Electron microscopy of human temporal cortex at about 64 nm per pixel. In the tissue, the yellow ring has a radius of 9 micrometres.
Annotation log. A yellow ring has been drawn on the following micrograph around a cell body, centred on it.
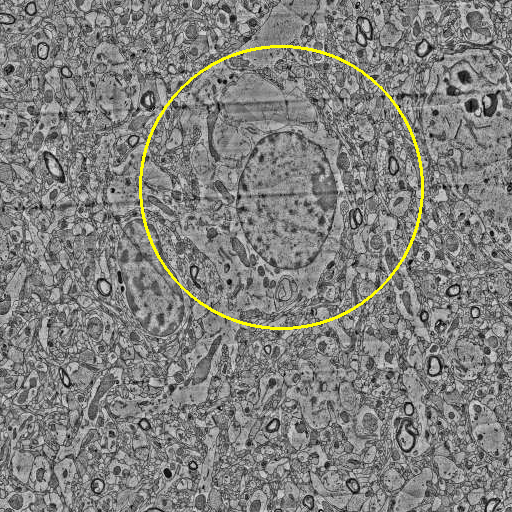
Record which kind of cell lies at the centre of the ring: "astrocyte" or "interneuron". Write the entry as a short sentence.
The cell the ring is centred on is an astrocyte.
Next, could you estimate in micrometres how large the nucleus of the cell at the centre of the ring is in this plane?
Approximately 9 micrometres long and 6 micrometres wide, in this plane.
